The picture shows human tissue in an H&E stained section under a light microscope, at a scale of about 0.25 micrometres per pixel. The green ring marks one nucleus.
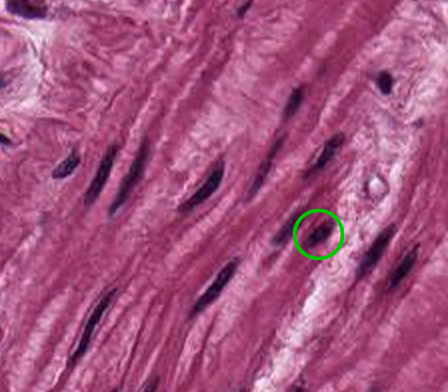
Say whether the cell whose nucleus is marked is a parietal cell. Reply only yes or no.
no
